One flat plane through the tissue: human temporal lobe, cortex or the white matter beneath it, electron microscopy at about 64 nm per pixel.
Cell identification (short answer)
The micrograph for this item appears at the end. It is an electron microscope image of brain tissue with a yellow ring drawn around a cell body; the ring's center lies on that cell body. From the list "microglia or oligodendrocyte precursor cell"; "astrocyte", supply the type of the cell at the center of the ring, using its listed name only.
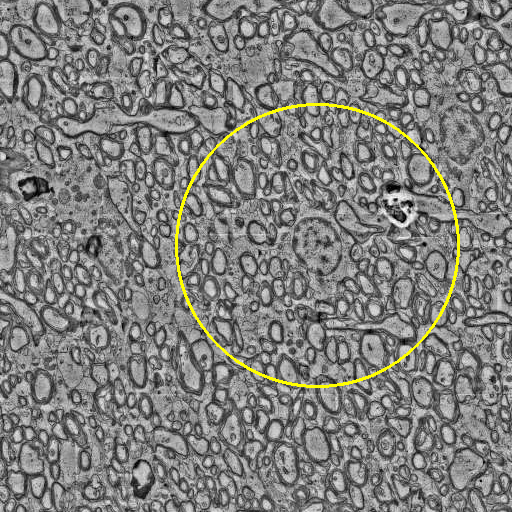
microglia or oligodendrocyte precursor cell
